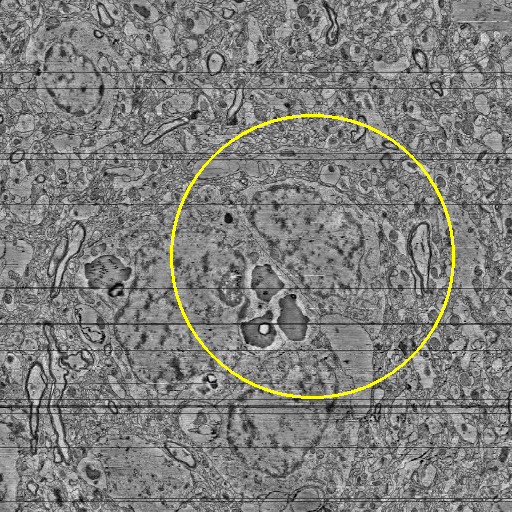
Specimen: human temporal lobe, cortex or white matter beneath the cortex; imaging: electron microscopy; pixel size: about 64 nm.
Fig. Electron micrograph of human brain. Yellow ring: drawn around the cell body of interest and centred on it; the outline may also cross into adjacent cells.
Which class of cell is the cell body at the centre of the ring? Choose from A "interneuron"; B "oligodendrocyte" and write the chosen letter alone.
A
